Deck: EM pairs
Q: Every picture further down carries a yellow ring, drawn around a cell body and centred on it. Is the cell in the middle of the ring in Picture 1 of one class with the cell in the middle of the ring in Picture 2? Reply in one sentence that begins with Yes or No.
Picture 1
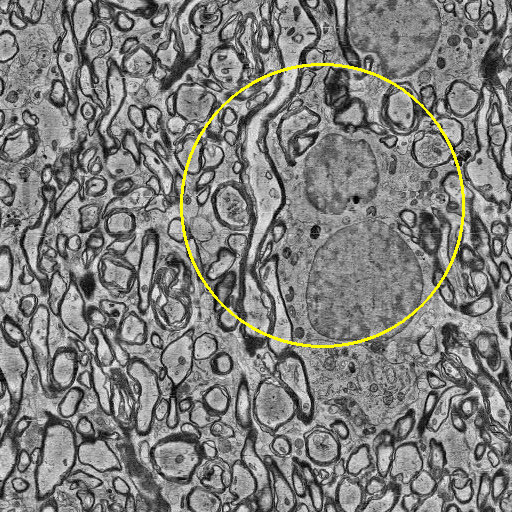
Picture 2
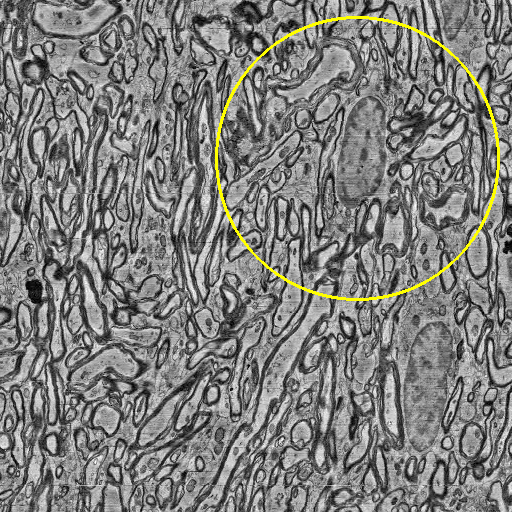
No, the cell centred in the ring of Picture 1 and the one in Picture 2 belong to separate classes.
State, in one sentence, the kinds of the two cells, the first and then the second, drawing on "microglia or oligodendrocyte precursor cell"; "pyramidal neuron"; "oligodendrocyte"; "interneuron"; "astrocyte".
The ring in the second picture is centred on a microglial cell or oligodendrocyte precursor cell, the ring in the first on an oligodendrocyte.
